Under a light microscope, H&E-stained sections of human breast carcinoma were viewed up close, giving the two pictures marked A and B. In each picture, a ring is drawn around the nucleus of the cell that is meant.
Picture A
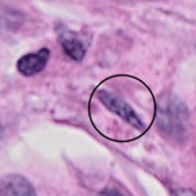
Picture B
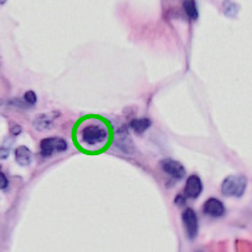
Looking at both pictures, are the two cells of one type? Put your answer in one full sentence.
No, they differ: the cell is a fibroblast in picture A and a lymphocyte in picture B.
